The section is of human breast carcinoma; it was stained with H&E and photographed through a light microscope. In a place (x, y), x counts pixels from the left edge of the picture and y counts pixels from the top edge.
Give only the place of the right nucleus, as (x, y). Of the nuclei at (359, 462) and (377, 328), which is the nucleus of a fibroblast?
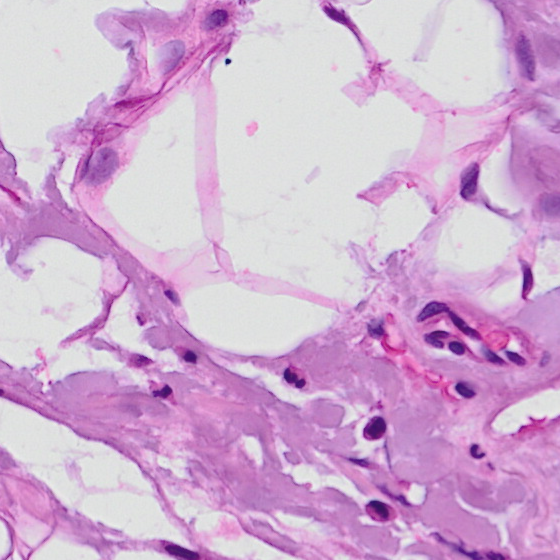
(359, 462)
